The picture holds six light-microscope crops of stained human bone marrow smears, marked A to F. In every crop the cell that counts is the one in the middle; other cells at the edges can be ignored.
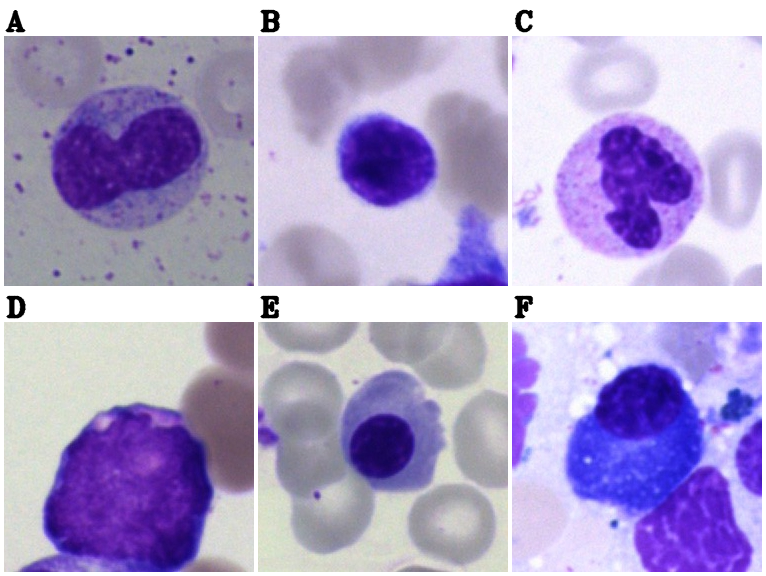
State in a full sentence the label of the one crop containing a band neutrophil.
Crop A is the single crop that shows a band neutrophil.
